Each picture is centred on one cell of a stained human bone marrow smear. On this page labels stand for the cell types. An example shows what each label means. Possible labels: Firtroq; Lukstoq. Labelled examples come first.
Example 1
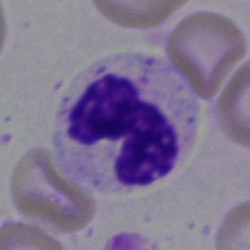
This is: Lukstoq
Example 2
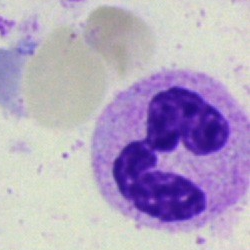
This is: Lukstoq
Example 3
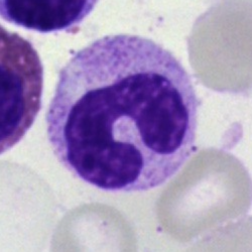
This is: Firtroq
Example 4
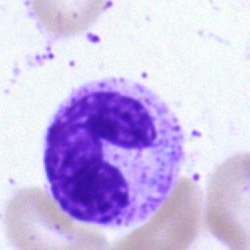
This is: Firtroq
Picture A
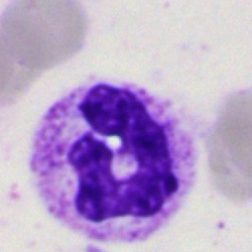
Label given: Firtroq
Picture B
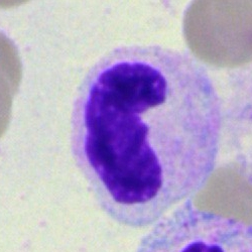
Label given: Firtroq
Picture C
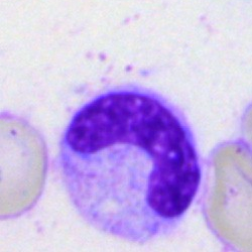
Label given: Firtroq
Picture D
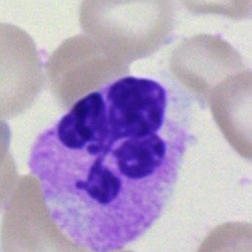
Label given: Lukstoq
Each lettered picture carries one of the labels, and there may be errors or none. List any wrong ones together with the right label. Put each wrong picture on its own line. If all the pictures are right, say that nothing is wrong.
A is labelled Firtroq; correct label: Lukstoq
